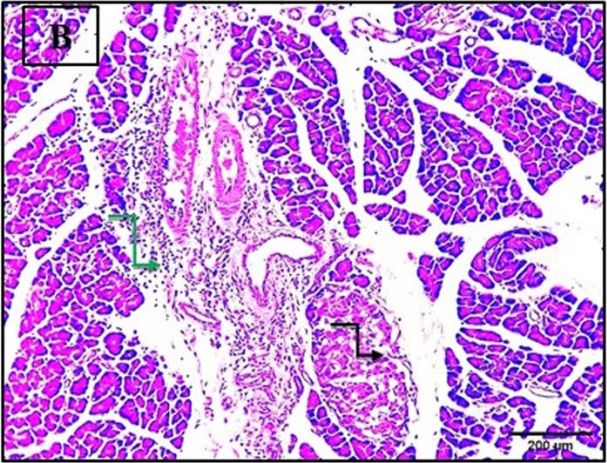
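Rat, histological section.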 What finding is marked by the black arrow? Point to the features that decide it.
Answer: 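A rounded pale pink area among the acini with loose, disorganized texture.
Degenerated and disintegrated islets of Langerhans.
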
